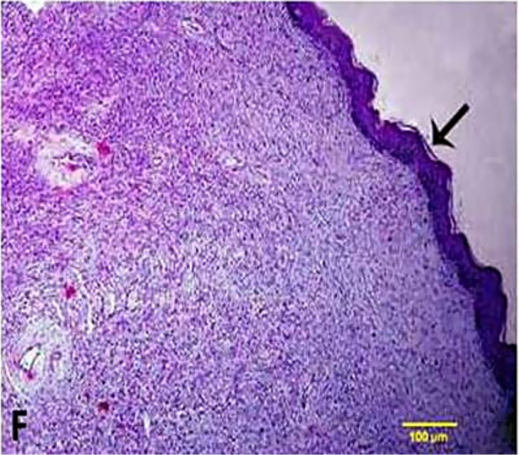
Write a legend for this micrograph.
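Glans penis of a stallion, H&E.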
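This shows a surface covered by a dark purple stratified epithelium, beneath which lies an extensive fibrovascular stroma. Small vessels with red blood cells are scattered through the stroma. The epithelium forms a thin band along one edge, with a slightly undulating border.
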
